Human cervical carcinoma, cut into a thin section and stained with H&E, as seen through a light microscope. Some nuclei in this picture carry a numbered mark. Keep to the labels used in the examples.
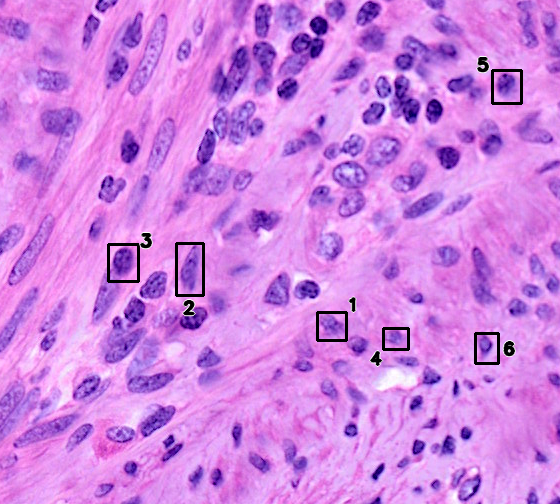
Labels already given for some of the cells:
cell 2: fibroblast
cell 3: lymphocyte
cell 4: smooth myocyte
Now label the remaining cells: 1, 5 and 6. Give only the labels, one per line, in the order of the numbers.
smooth myocyte
lymphocyte
smooth myocyte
